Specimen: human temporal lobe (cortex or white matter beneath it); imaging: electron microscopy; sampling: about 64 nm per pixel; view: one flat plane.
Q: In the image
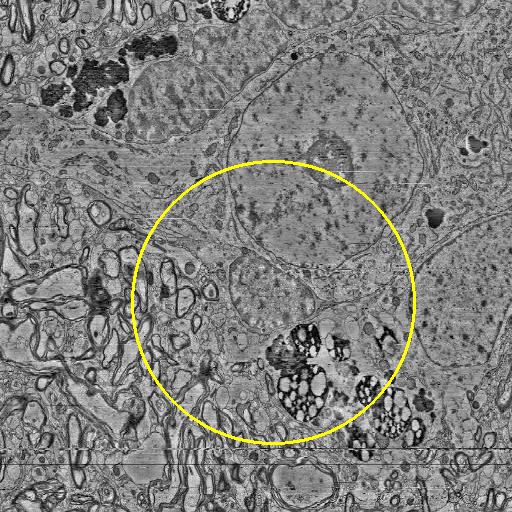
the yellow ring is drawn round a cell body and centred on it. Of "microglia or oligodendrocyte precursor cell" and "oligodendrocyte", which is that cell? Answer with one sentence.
The cell centred in the ring is an oligodendrocyte.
